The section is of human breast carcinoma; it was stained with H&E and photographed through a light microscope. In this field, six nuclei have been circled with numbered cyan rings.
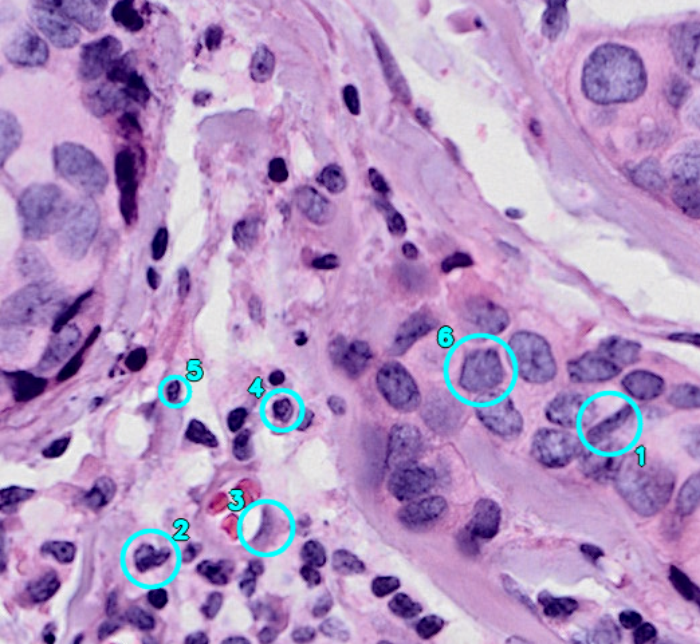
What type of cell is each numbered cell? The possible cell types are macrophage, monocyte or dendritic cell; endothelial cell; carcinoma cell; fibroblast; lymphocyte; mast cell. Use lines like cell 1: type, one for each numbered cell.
cell 1: carcinoma cell
cell 2: lymphocyte
cell 3: endothelial cell
cell 4: lymphocyte
cell 5: lymphocyte
cell 6: carcinoma cell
